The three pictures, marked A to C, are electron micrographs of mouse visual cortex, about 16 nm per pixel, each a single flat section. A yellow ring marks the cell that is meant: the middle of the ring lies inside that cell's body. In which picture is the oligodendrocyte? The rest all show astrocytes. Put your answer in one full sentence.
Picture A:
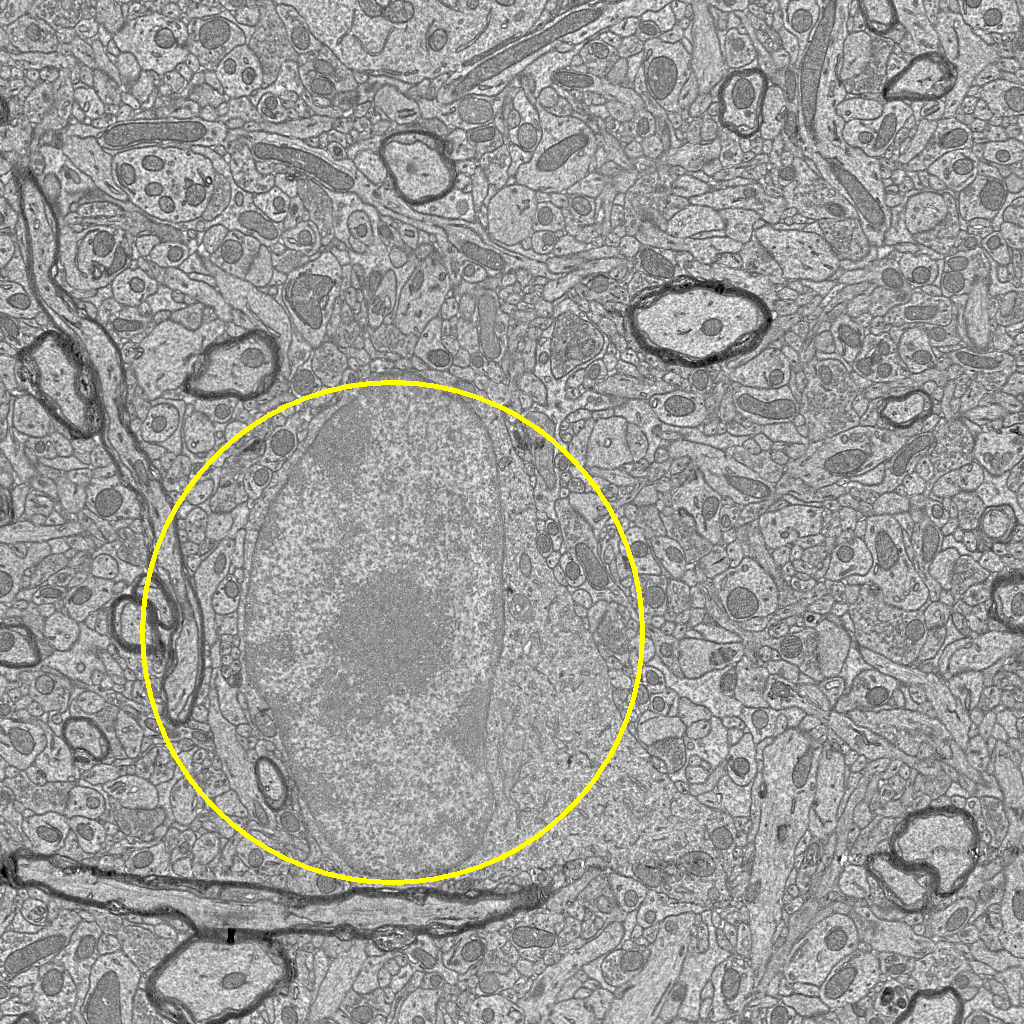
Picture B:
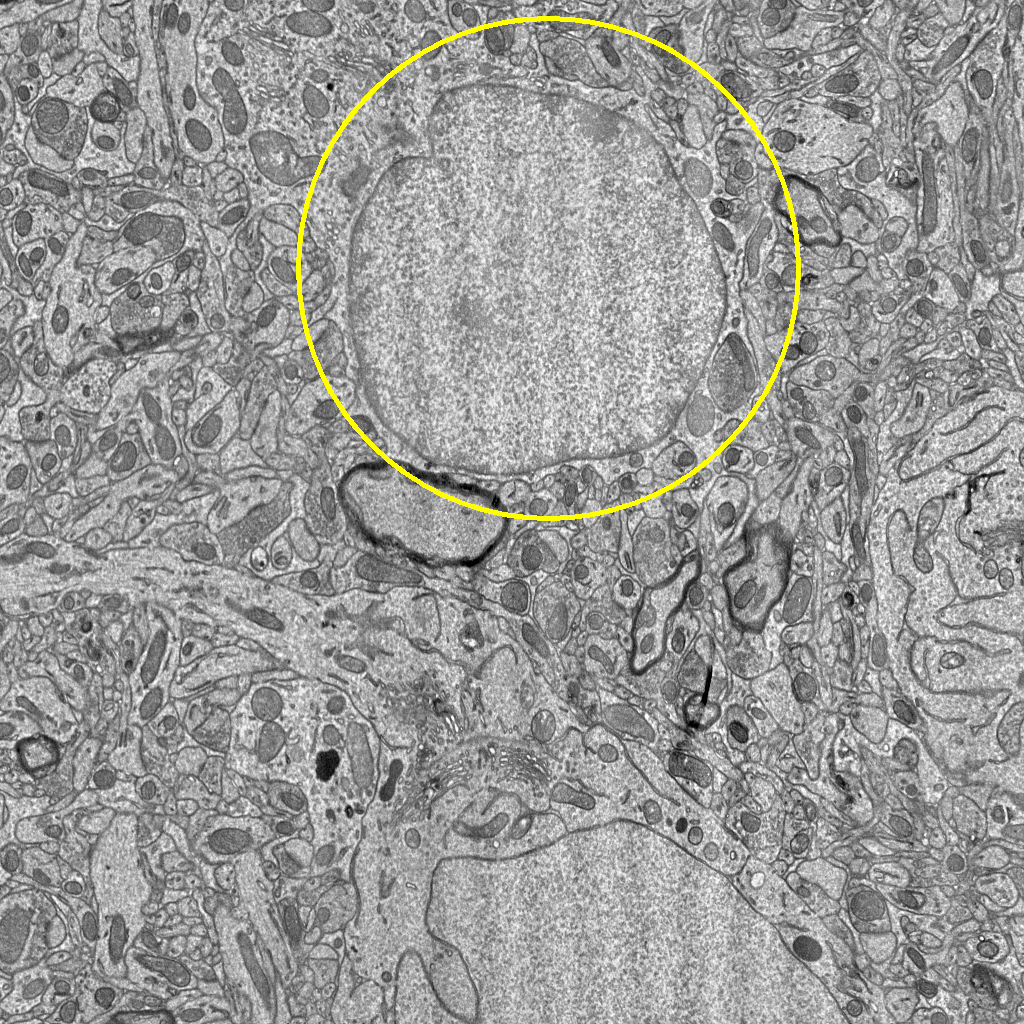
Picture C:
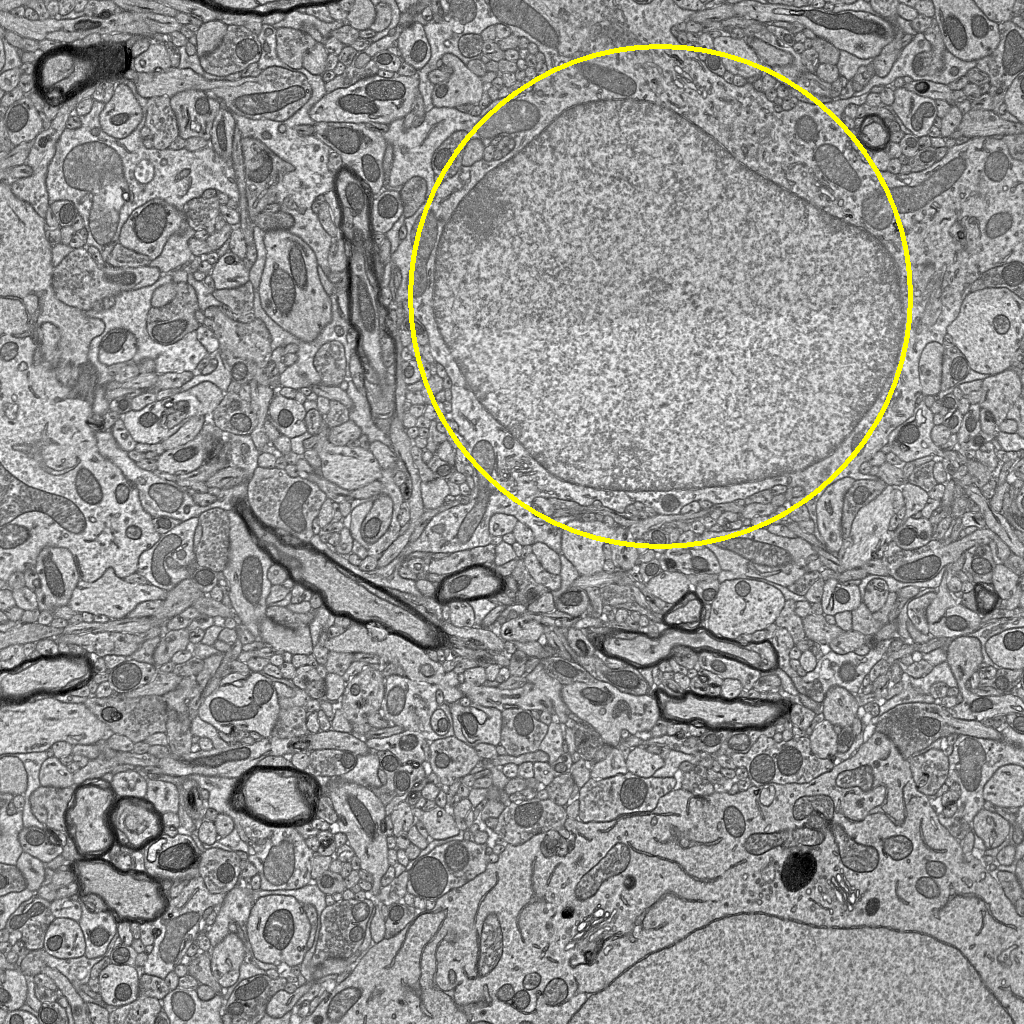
The oligodendrocyte is the one in picture A.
